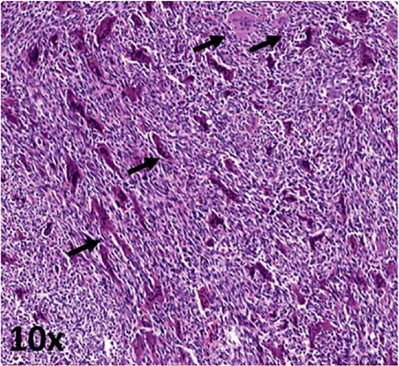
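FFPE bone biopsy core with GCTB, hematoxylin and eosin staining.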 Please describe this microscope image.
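The giant cells are large, often elongated, and stain deep purple with clustered nuclei. The small cells have oval to spindle-shaped purple nuclei and scant pink cytoplasm. Cells and giant cells are aligned in a streaming direction across the field. A few pink paler areas lie among the cells.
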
